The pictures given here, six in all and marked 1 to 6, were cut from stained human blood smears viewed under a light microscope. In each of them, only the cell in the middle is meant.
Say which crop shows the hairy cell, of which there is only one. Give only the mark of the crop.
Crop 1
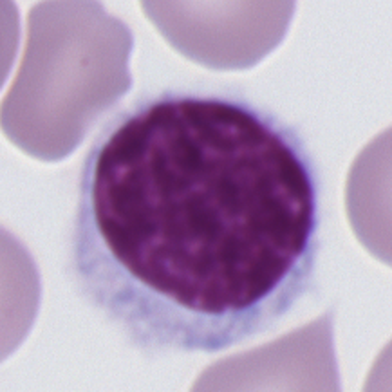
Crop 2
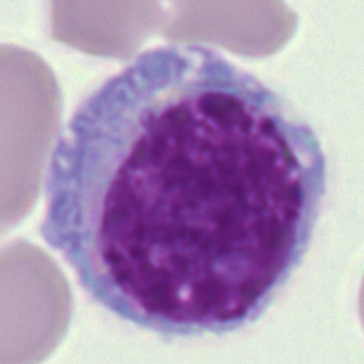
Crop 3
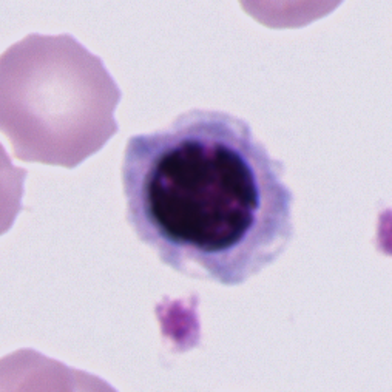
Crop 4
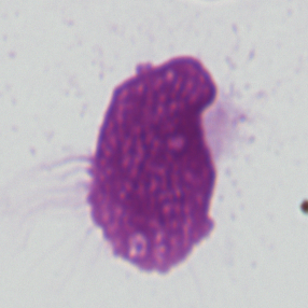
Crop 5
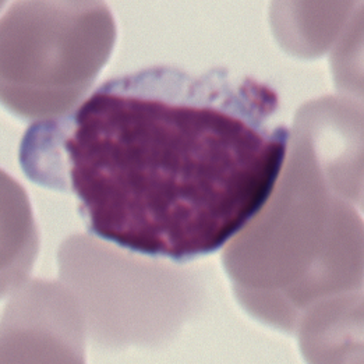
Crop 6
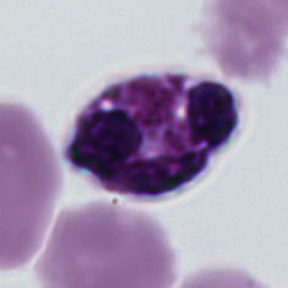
1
